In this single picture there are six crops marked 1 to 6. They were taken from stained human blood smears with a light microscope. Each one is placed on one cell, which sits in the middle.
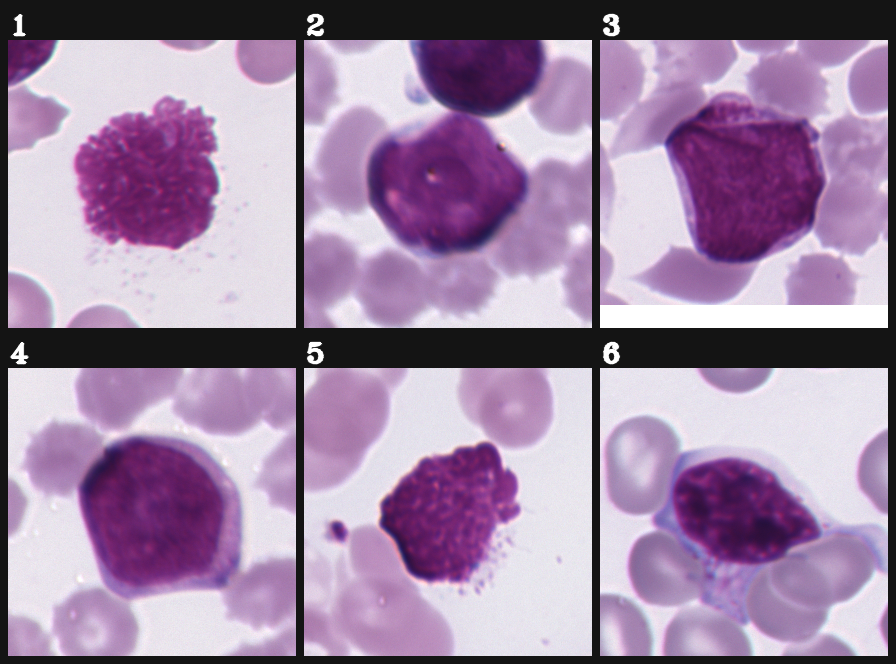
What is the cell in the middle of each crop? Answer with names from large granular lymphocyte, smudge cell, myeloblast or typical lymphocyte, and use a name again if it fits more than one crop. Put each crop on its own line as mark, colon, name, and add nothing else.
1: smudge cell
2: myeloblast
3: myeloblast
4: myeloblast
5: smudge cell
6: large granular lymphocyte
